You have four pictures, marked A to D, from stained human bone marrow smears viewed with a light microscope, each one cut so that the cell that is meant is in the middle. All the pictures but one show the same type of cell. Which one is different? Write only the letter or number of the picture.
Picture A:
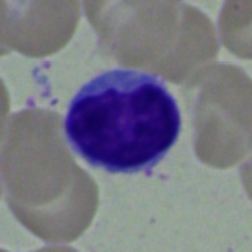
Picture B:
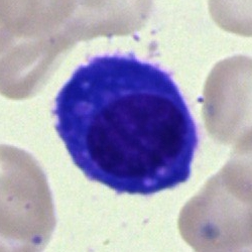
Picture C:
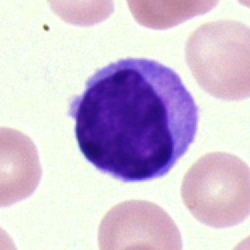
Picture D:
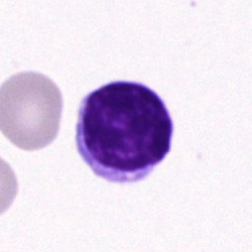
B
